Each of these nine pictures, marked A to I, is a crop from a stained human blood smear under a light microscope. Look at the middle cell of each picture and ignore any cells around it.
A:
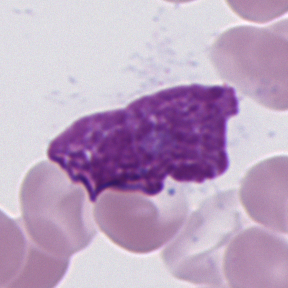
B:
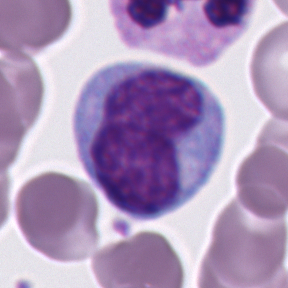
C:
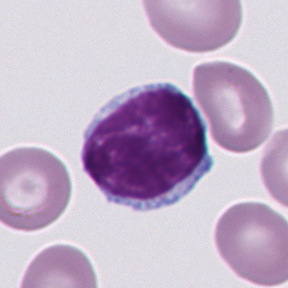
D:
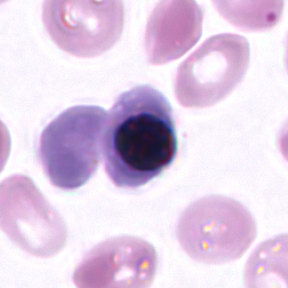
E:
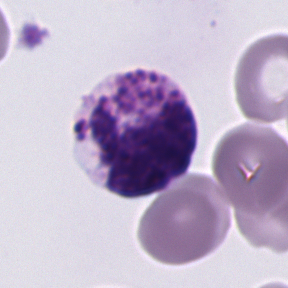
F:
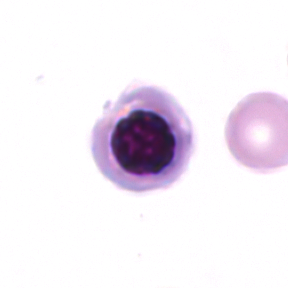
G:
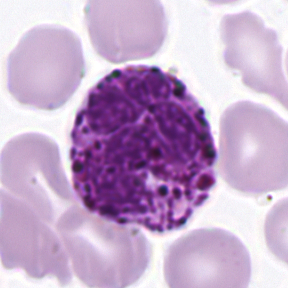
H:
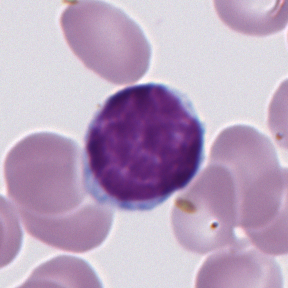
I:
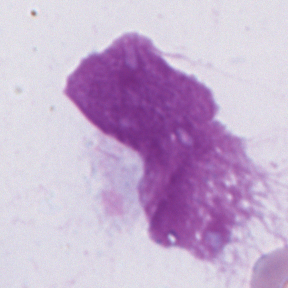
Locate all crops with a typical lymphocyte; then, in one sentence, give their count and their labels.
Those showing typical lymphocytes are crops C and H, so two crops in all.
